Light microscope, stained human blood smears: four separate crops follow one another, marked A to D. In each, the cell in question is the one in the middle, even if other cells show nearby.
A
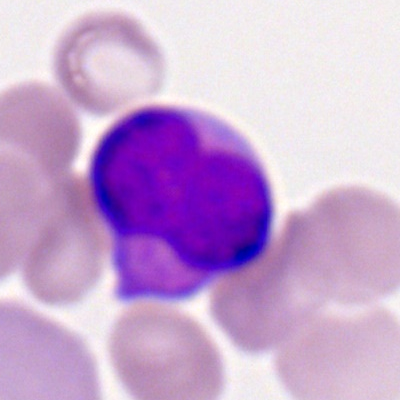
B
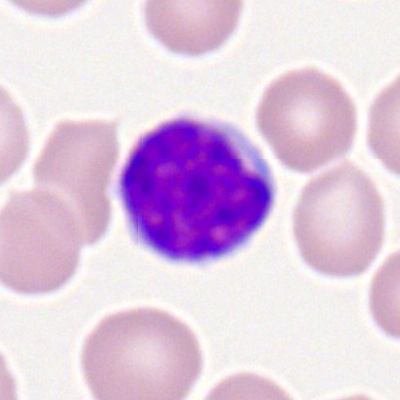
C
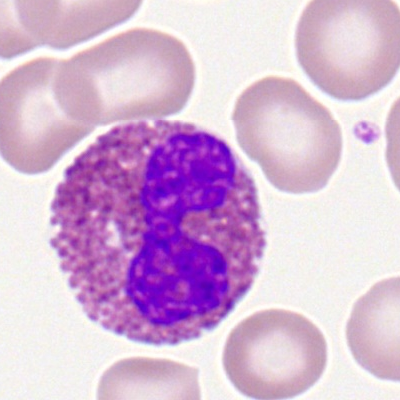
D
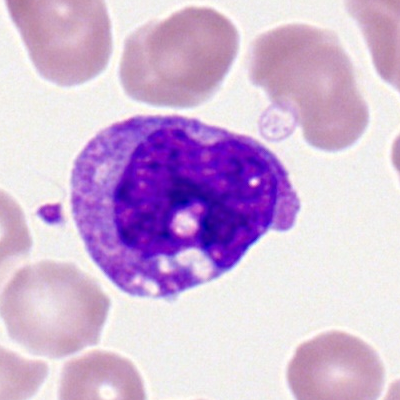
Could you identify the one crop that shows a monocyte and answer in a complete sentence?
The crop showing a monocyte in this series is crop D.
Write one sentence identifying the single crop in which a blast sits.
The one showing a blast is crop A.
